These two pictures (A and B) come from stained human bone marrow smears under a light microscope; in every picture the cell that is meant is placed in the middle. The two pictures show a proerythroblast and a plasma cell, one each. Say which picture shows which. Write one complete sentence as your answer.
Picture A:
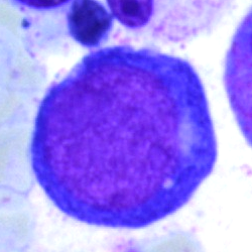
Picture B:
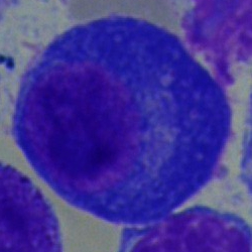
Picture B shows a plasma cell, while picture A shows a proerythroblast.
